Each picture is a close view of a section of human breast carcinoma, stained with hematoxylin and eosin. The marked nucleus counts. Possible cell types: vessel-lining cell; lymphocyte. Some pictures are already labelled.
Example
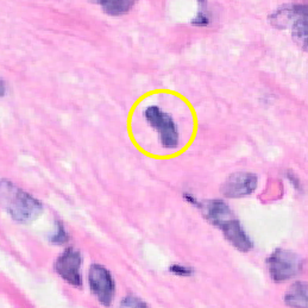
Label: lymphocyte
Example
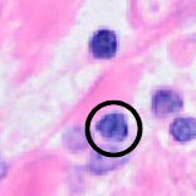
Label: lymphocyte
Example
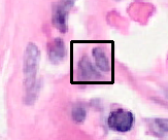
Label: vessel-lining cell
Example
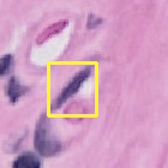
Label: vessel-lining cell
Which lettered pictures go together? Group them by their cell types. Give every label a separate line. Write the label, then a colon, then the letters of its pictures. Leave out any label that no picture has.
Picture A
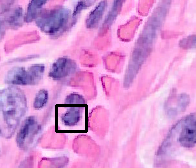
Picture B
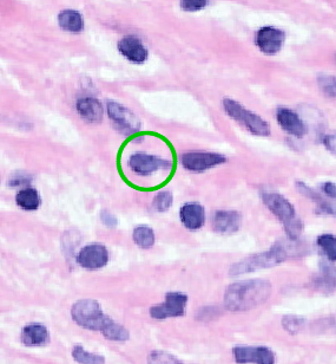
vessel-lining cell: A
lymphocyte: B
